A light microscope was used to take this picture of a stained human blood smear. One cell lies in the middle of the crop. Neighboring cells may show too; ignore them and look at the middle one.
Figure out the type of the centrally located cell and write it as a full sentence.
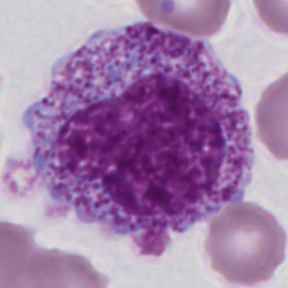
On this slide crop, the central cell is a promyelocyte.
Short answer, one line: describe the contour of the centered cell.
This cell has an uneven outline, either ragged or bearing projections.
